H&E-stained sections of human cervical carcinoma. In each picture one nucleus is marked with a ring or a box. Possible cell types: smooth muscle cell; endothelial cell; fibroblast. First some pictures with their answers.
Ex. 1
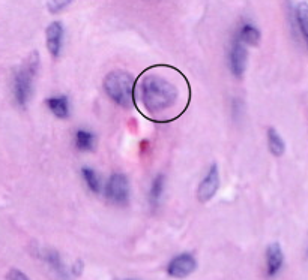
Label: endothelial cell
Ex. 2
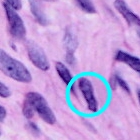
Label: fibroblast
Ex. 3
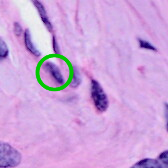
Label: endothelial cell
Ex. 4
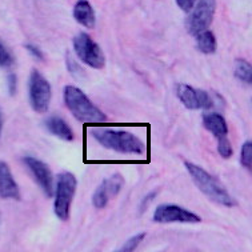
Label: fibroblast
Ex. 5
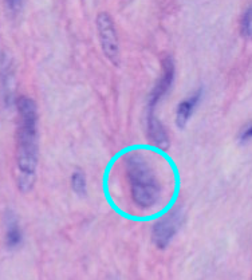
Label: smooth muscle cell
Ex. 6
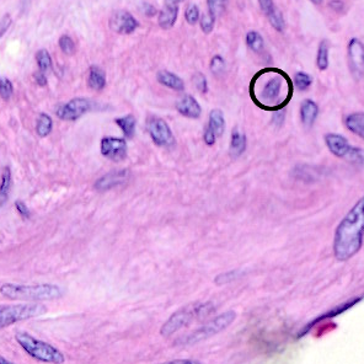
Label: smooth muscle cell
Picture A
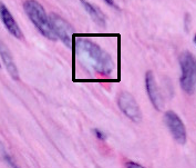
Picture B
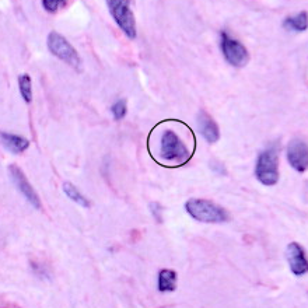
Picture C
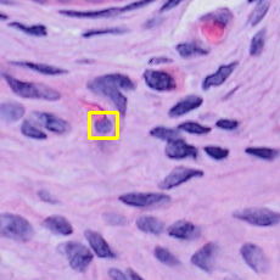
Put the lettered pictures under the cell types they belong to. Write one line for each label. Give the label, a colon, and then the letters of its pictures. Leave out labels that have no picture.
endothelial cell: A, C
fibroblast: B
